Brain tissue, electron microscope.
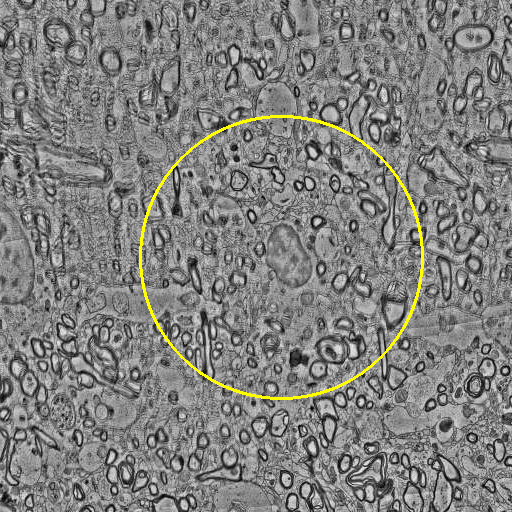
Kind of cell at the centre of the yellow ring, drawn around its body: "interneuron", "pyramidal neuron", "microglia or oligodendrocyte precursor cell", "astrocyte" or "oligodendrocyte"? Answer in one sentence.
The ring's centre falls on an oligodendrocyte.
